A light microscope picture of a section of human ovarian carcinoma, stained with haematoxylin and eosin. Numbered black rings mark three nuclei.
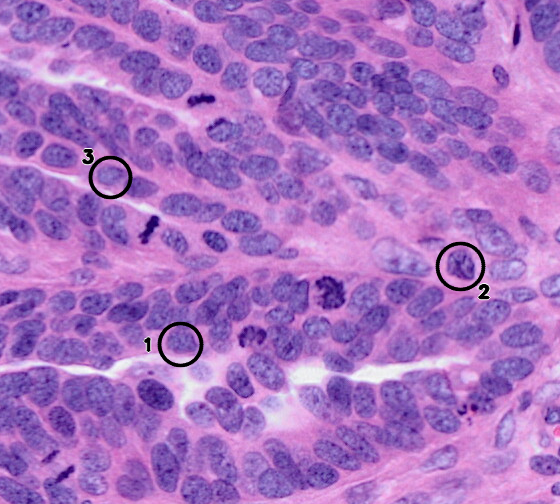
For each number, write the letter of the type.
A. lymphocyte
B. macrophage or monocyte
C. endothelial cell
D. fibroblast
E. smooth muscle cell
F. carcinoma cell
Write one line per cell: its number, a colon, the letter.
1: F
2: B
3: F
